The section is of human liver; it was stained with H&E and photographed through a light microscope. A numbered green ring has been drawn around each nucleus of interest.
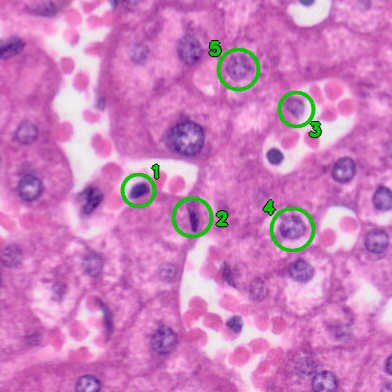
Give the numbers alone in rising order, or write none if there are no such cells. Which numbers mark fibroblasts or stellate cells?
2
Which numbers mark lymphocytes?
1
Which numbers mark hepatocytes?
4, 5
